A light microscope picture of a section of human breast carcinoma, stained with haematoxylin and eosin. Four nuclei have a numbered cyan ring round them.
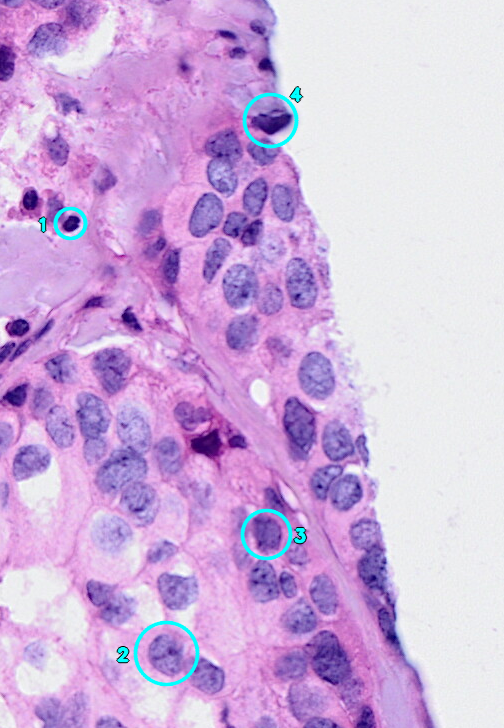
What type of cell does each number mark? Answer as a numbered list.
1. lymphocyte
2. carcinoma cell
3. carcinoma cell
4. carcinoma cell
